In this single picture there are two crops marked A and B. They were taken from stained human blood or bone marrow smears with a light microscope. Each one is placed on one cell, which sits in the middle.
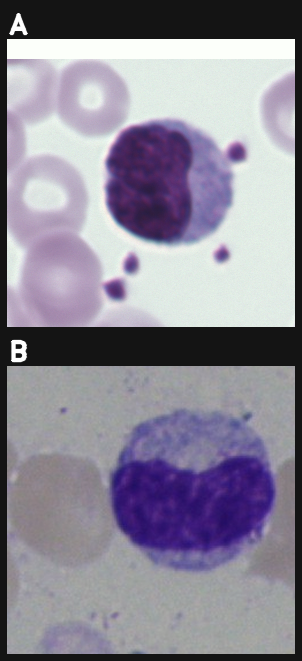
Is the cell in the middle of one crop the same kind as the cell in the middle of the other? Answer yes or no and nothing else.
no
